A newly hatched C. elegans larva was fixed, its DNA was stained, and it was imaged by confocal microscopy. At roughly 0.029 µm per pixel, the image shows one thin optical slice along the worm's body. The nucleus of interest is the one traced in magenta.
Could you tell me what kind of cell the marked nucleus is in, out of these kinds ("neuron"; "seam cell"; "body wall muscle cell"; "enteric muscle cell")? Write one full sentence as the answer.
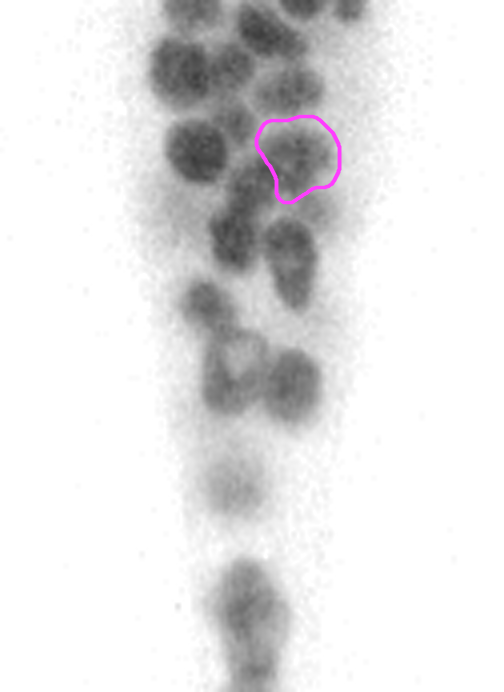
The cell with the marked nucleus is an enteric muscle cell.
